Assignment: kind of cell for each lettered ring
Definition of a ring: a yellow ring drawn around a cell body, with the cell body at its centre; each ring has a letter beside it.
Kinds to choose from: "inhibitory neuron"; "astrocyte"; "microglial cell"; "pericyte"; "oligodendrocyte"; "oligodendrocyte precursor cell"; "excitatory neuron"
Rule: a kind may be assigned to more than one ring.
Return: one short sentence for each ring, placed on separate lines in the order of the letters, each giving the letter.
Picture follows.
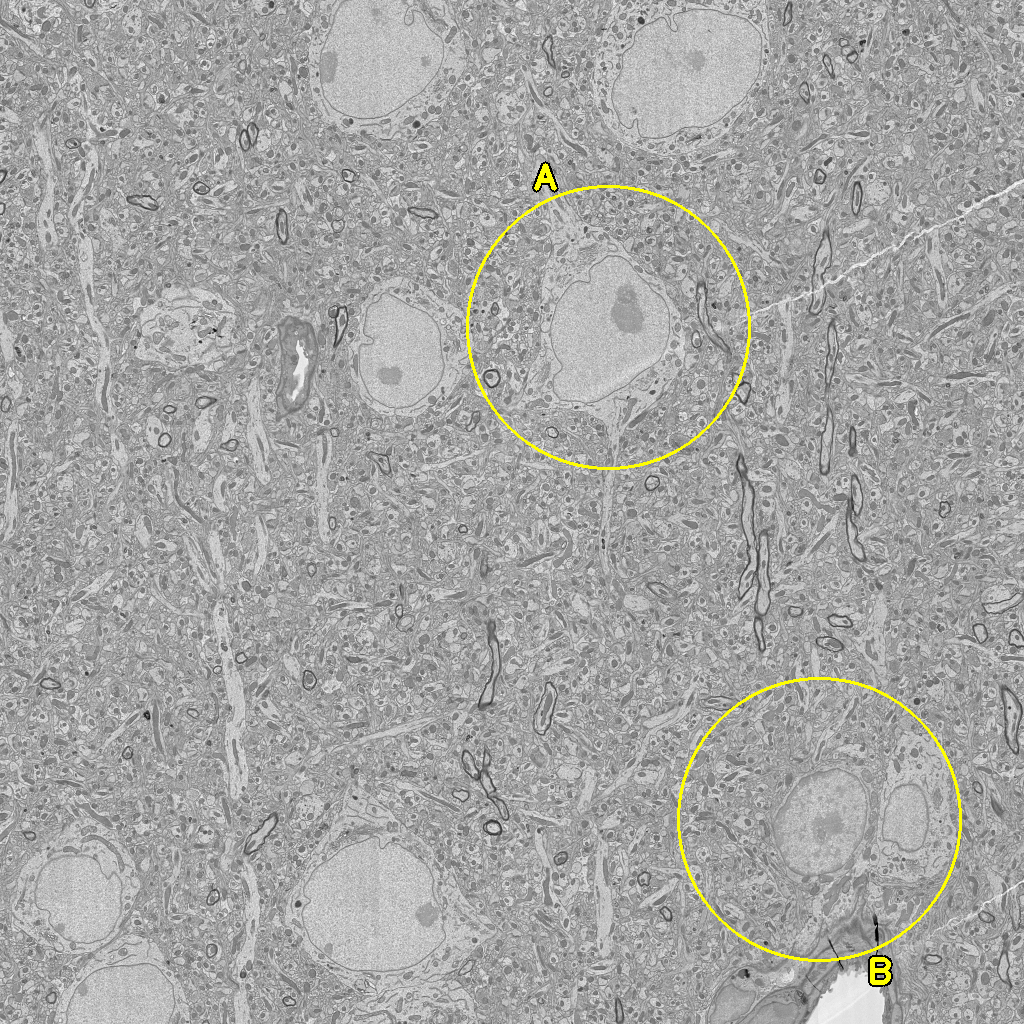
The ring marked A is centred on an excitatory neuron.
The ring marked B is centred on an oligodendrocyte.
